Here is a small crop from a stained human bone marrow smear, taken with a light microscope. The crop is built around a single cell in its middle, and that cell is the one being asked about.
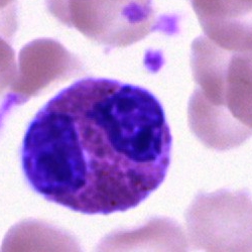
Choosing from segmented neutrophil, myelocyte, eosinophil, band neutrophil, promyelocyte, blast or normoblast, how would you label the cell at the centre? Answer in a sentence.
The cell of interest, located centrally, is an eosinophil.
